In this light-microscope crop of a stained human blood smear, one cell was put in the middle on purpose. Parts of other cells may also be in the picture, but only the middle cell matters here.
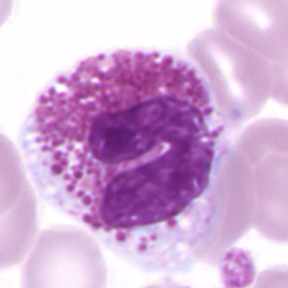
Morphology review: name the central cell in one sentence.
What the crop centres on is an eosinophil.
